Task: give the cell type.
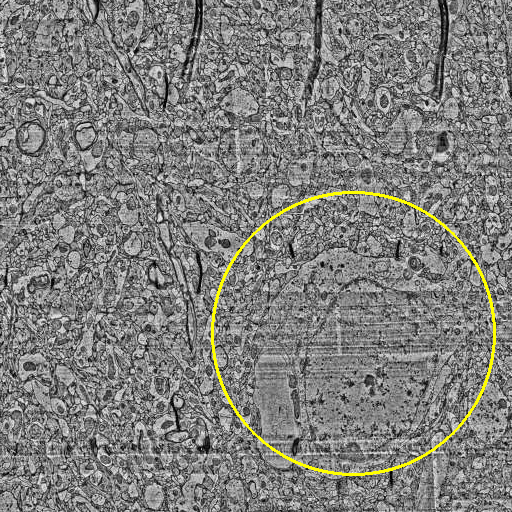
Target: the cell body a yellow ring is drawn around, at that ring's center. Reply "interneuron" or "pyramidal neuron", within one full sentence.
In this picture, the cell whose body lies at the ring's center is an interneuron.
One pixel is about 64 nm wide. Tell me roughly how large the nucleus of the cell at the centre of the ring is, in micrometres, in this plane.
The nucleus has a long axis of about 12 micrometres and a short axis of about 9 micrometres in this plane.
